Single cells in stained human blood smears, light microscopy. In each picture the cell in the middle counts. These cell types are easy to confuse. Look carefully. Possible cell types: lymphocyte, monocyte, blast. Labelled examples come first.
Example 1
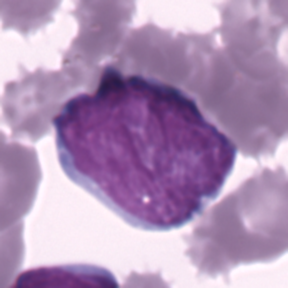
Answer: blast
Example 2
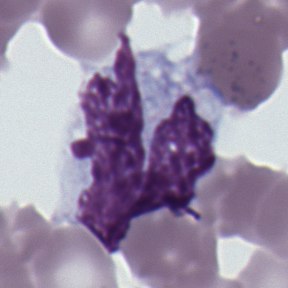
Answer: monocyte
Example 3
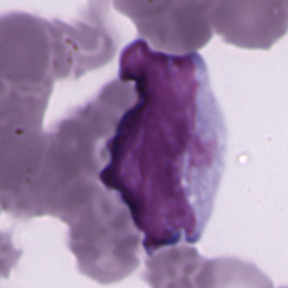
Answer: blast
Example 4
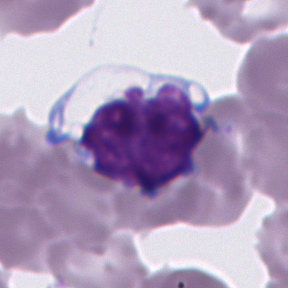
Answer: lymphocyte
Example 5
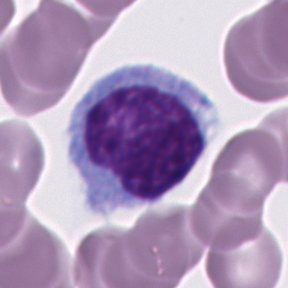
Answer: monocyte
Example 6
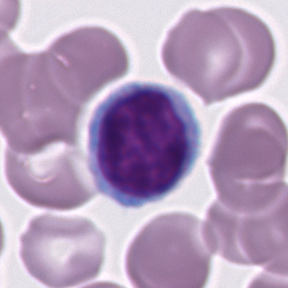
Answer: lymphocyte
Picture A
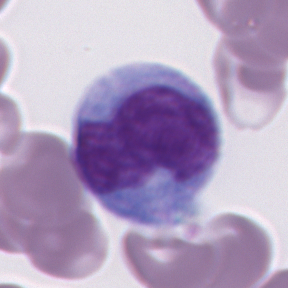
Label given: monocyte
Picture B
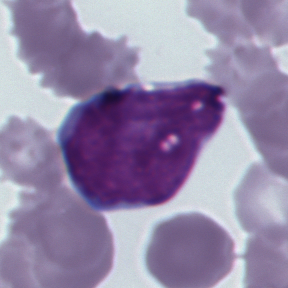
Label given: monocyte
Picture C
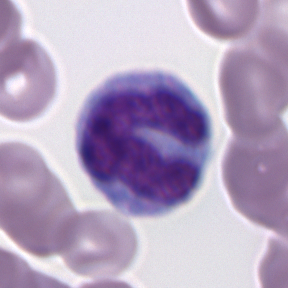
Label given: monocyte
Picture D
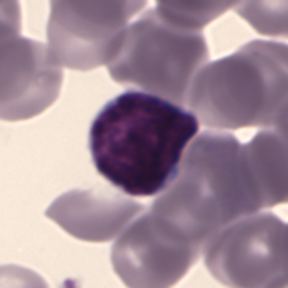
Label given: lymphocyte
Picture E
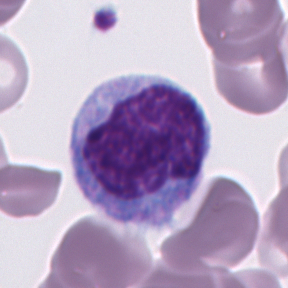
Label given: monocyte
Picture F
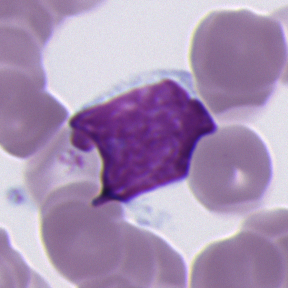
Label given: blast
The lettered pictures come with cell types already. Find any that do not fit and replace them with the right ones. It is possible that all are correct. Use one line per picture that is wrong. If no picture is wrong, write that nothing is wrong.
Wrong: B (monocyte); correct: blast
Wrong: F (blast); correct: lymphocyte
